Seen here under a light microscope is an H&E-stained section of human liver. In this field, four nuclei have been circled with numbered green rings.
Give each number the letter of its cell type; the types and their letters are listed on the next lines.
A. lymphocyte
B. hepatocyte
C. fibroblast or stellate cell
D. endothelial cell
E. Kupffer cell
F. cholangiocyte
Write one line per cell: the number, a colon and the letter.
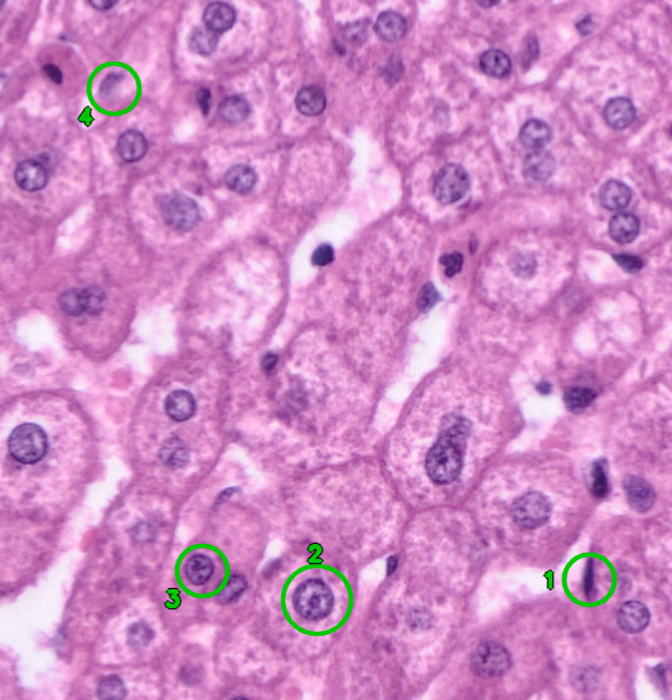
1: C
2: B
3: B
4: D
